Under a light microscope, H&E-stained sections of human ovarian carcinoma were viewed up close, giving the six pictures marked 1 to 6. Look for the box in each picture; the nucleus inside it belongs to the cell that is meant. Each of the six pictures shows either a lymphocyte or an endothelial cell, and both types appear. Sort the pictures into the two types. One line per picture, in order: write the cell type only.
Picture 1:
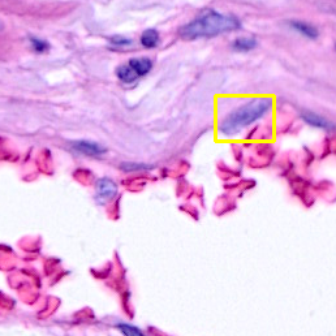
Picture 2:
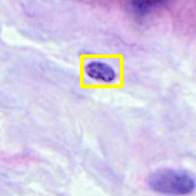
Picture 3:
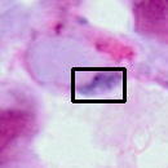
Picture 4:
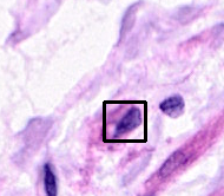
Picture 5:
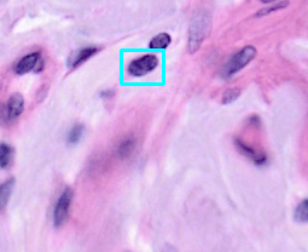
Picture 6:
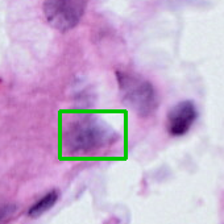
endothelial cell
lymphocyte
endothelial cell
endothelial cell
lymphocyte
endothelial cell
